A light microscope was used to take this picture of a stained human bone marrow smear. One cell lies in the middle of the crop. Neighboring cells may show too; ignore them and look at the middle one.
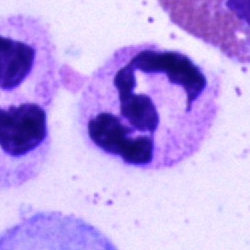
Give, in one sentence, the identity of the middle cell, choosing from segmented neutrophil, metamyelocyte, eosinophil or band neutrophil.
The cell occupying the middle of the crop is a segmented neutrophil.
